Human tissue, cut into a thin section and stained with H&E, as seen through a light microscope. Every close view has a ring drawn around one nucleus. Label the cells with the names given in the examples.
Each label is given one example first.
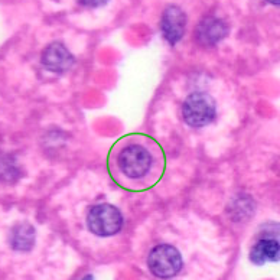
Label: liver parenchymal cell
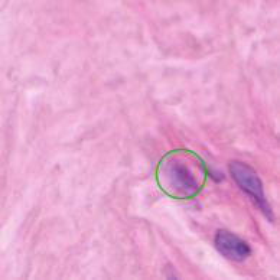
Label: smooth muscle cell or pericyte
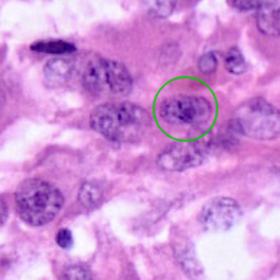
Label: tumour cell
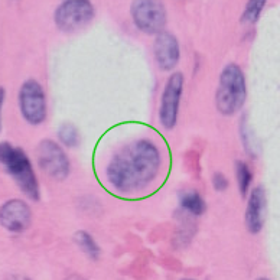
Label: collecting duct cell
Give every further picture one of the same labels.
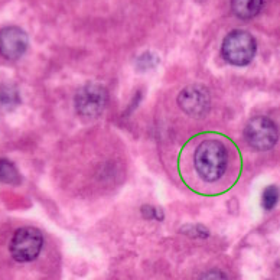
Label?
liver parenchymal cell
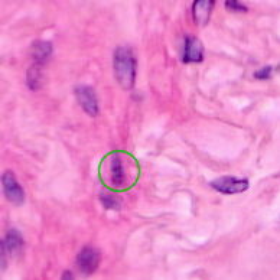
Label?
smooth muscle cell or pericyte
